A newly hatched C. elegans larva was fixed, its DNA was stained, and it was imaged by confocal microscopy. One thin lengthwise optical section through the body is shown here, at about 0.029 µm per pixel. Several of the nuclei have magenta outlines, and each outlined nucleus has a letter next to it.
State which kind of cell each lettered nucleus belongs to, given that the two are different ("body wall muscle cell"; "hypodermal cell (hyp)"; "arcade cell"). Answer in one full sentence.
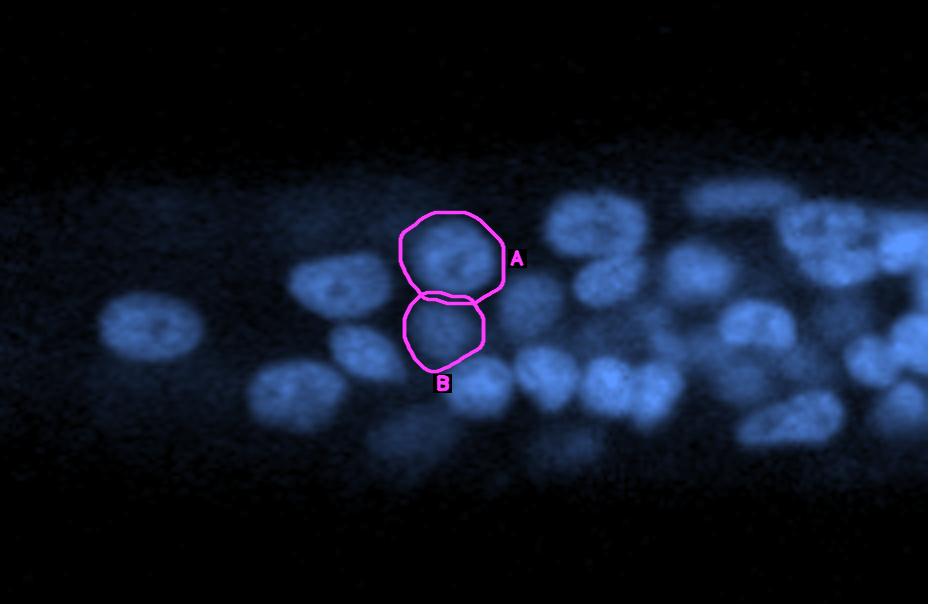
One is from a body wall muscle cell, namely A, and the other, B, is from a hypodermal cell (hyp).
